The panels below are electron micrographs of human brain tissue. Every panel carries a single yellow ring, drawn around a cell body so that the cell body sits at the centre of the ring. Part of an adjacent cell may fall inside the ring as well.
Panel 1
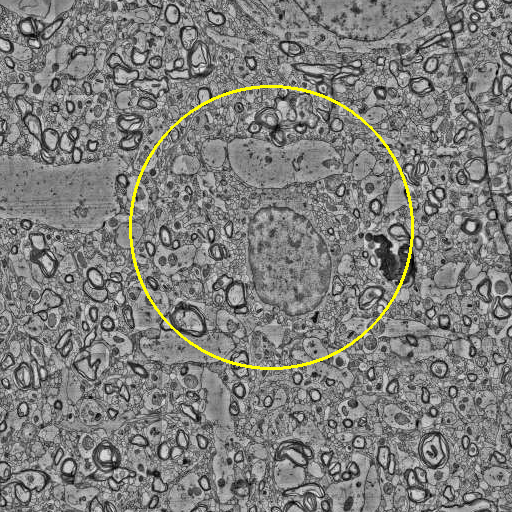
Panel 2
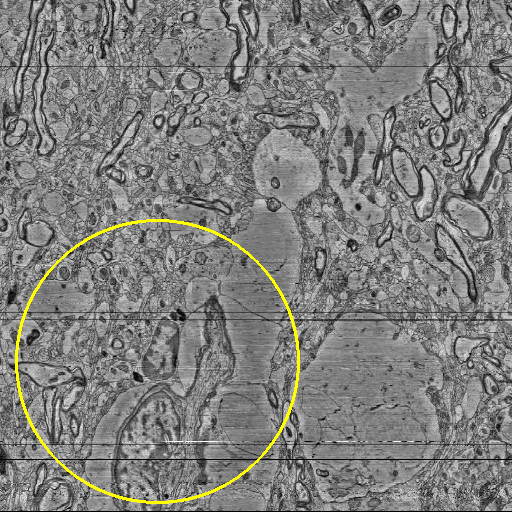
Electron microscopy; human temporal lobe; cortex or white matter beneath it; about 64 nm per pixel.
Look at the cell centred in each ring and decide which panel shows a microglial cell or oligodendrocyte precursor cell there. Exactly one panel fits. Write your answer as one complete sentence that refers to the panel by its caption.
Panel 2 has it at the centre of its ring.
